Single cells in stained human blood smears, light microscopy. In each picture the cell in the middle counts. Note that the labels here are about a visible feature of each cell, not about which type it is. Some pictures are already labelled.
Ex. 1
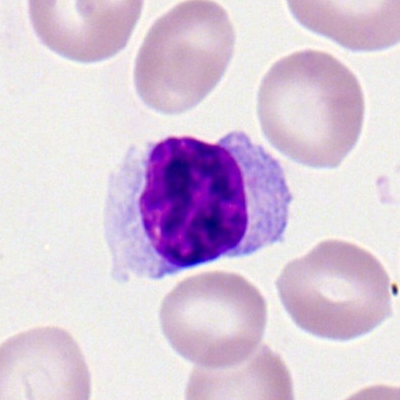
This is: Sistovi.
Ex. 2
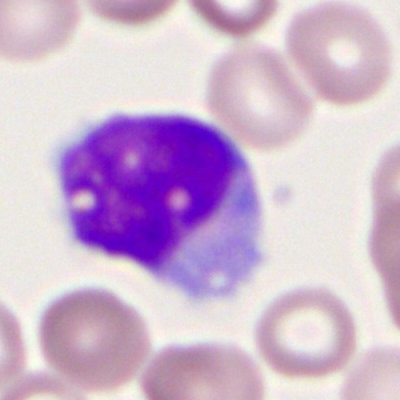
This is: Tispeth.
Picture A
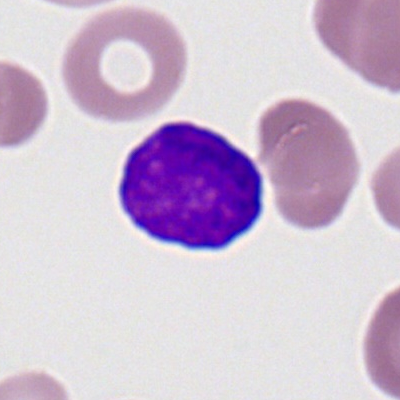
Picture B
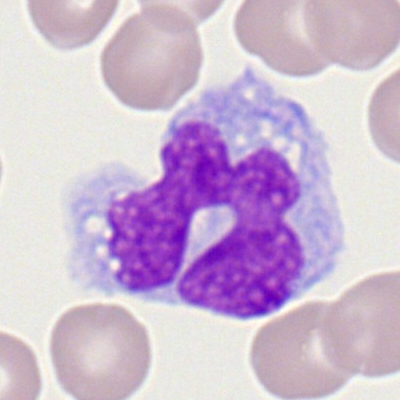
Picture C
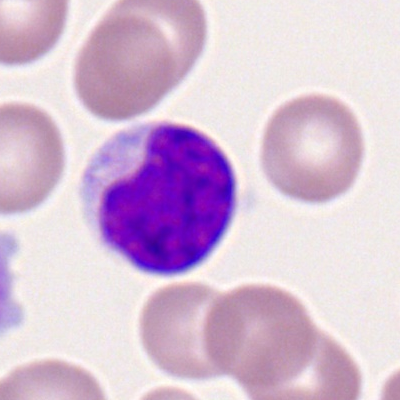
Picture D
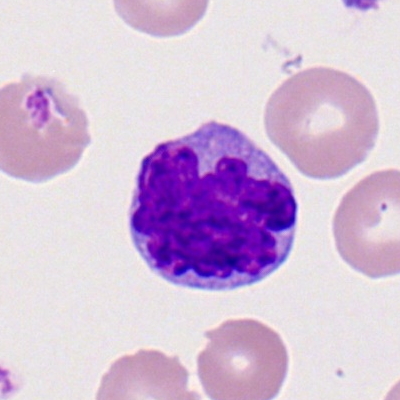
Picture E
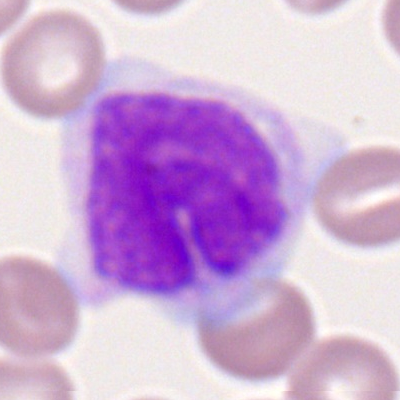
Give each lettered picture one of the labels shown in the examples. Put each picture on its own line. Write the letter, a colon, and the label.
A: Tispeth.
B: Sistovi.
C: Tispeth.
D: Tispeth.
E: Tispeth.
